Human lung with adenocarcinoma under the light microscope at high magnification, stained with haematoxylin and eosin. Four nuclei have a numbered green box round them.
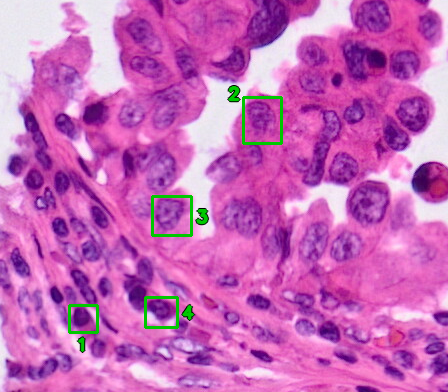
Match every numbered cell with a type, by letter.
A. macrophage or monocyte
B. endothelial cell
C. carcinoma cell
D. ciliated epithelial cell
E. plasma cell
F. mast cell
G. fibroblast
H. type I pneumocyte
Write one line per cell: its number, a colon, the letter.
1: E
2: C
3: C
4: E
